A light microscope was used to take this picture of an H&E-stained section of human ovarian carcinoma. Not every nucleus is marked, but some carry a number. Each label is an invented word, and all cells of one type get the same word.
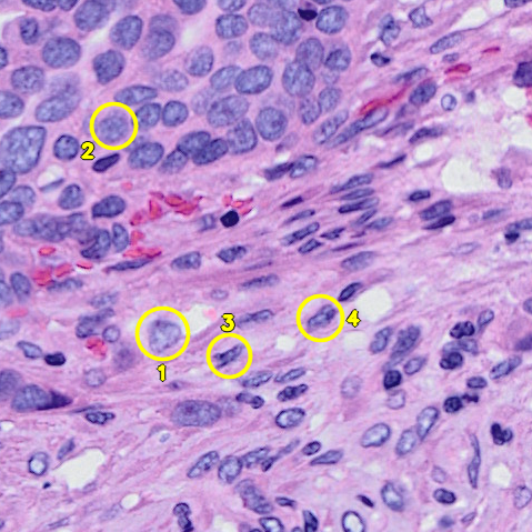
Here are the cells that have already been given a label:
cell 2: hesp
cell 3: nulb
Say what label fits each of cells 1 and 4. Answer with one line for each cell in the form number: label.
1: nulb
4: nulb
